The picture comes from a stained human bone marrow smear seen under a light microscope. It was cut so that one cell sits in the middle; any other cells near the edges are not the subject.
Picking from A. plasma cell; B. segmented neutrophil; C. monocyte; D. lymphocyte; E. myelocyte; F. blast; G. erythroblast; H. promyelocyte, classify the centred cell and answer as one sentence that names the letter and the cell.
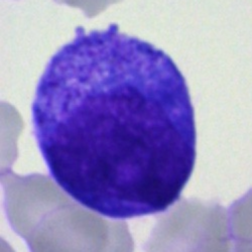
Option H is the correct one; it names the central cell as a promyelocyte.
